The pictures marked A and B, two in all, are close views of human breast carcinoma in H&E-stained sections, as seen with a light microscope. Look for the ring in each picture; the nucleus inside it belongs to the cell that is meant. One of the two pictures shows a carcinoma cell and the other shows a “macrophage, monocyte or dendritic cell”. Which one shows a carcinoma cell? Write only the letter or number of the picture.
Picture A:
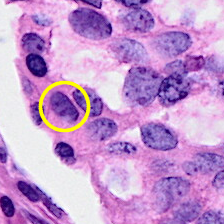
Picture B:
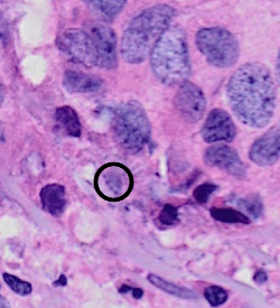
A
